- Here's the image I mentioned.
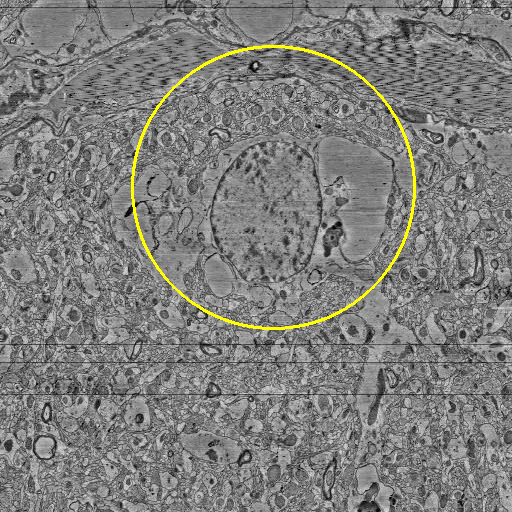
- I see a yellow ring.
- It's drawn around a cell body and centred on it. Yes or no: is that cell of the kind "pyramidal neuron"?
no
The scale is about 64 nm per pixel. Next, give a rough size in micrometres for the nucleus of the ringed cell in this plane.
The nucleus works out at approximately 10 by 7 micrometres in this plane.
